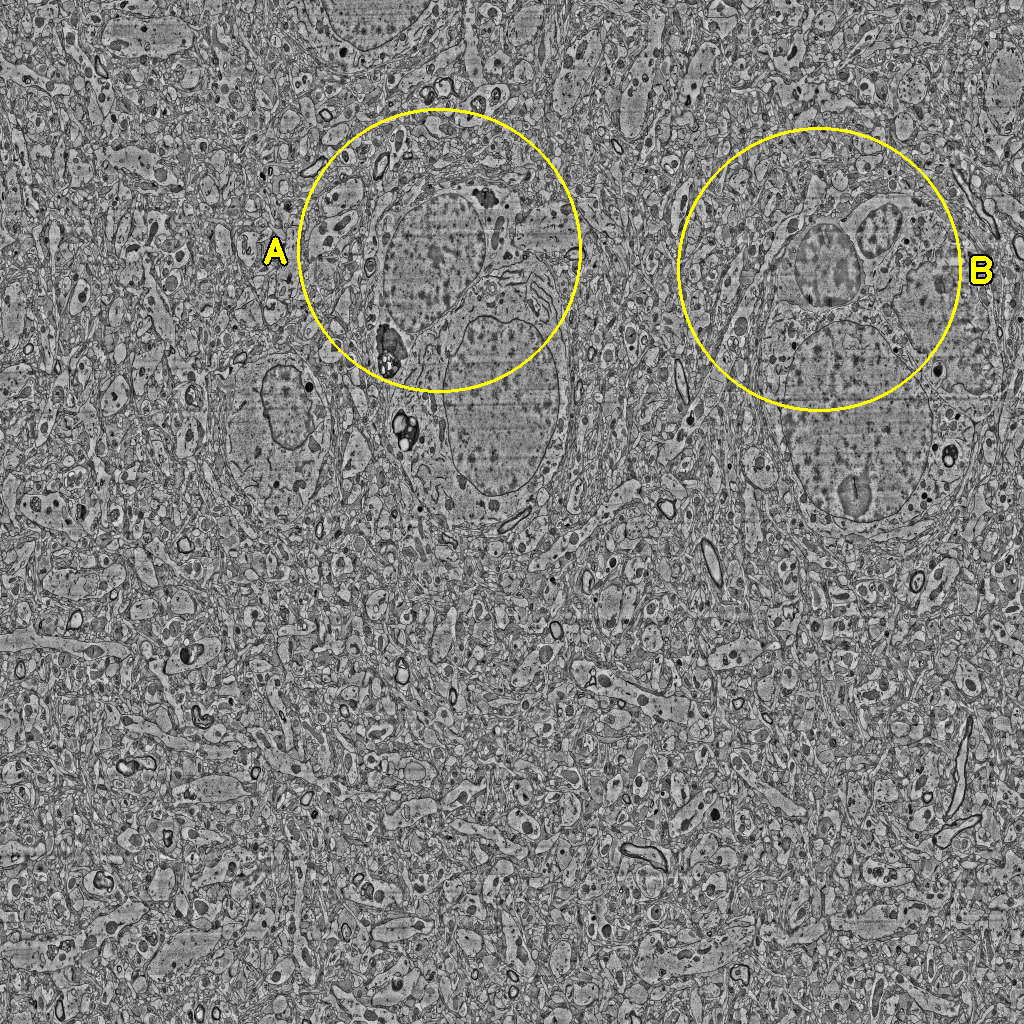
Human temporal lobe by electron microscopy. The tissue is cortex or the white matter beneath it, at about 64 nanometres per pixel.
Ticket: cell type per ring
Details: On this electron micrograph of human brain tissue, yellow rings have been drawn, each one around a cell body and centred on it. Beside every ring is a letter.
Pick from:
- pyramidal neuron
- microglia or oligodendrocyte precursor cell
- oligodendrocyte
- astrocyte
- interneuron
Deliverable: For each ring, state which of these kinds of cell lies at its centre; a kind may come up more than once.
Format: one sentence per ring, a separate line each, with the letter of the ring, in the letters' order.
The cell body ringed as A belongs to an astrocyte.
The cell body ringed as B belongs to an oligodendrocyte.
